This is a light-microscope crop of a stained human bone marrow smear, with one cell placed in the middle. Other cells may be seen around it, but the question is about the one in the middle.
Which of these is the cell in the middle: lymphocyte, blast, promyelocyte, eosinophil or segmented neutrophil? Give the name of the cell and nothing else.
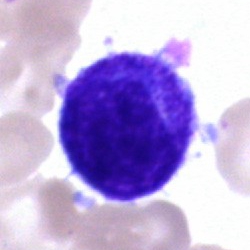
promyelocyte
